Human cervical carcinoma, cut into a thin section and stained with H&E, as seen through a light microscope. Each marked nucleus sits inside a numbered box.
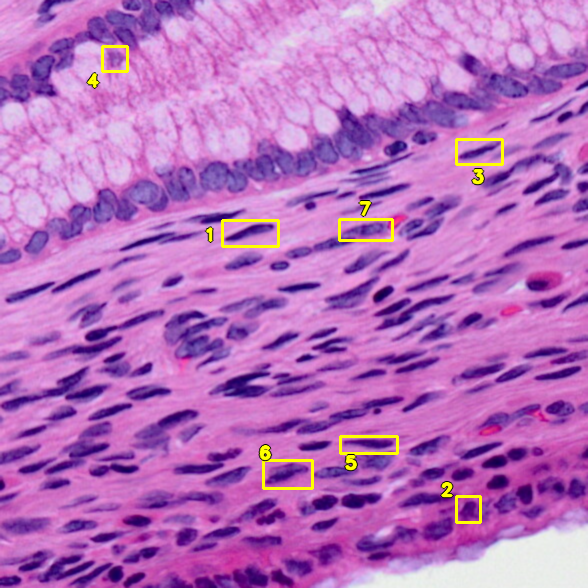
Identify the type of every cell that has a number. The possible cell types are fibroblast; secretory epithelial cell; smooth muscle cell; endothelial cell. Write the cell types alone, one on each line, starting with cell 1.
fibroblast
secretory epithelial cell
fibroblast
secretory epithelial cell
fibroblast
endothelial cell
endothelial cell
